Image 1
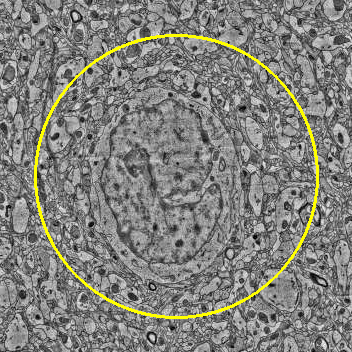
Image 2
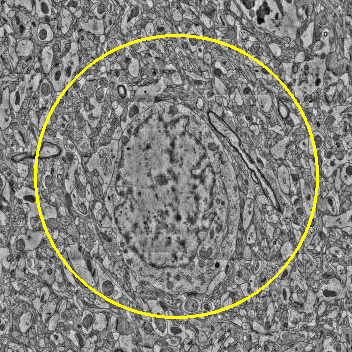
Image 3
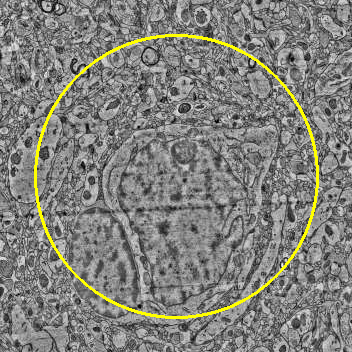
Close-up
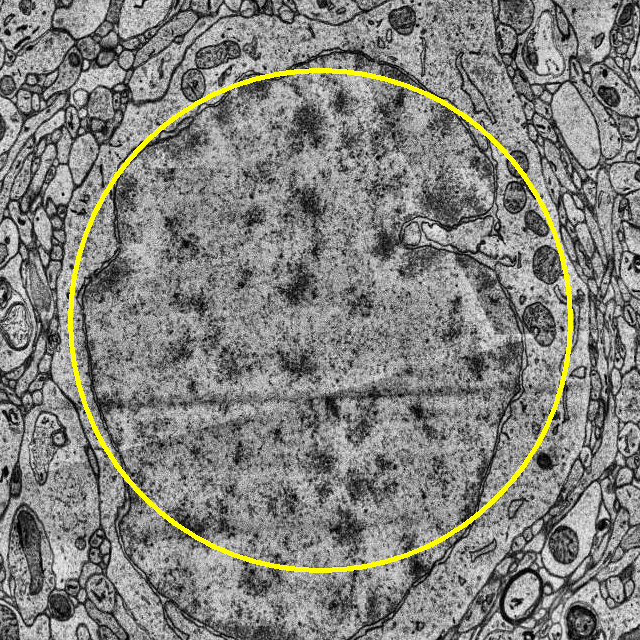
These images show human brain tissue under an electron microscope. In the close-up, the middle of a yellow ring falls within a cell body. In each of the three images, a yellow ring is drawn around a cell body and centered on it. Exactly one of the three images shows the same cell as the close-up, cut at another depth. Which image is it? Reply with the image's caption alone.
Image 1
